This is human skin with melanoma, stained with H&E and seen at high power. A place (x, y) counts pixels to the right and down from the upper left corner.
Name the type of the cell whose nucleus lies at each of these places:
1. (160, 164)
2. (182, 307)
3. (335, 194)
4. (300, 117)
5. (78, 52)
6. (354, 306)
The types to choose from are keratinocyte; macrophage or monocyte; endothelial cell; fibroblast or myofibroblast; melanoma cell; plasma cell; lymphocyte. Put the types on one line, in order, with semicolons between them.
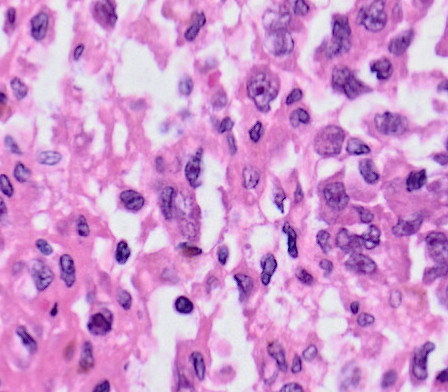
macrophage or monocyte; lymphocyte; melanoma cell; macrophage or monocyte; macrophage or monocyte; macrophage or monocyte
